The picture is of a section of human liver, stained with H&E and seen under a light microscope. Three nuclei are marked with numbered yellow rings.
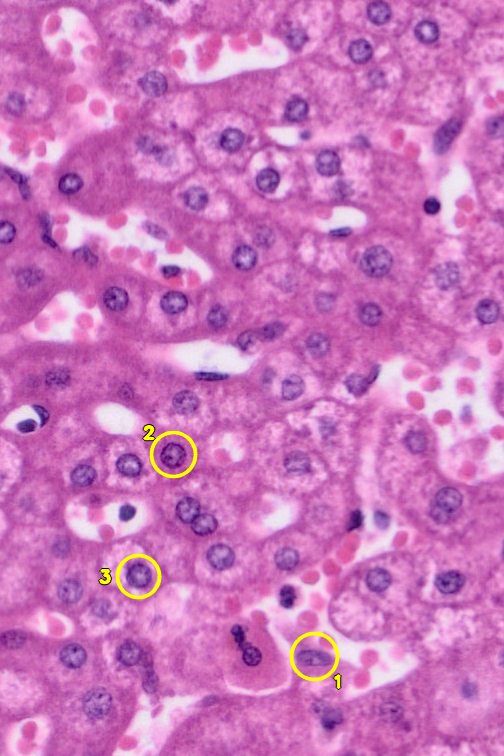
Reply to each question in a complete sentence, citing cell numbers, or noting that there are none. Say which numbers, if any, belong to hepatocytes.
Cells 2 and 3 share one type; they are hepatocytes.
